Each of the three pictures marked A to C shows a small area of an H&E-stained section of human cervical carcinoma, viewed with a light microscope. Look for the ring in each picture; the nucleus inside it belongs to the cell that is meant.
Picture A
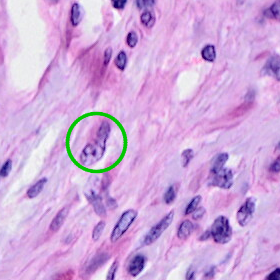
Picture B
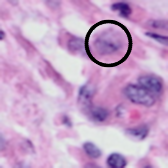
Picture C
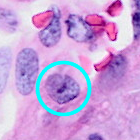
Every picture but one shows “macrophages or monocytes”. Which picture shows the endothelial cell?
C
